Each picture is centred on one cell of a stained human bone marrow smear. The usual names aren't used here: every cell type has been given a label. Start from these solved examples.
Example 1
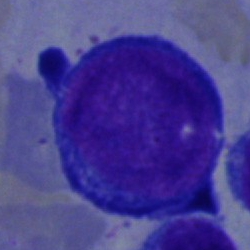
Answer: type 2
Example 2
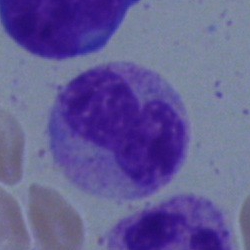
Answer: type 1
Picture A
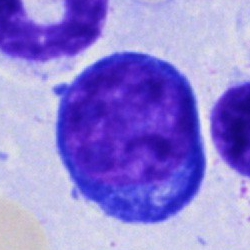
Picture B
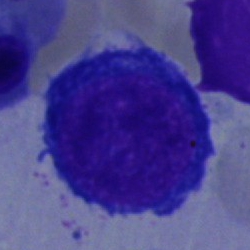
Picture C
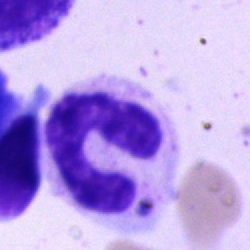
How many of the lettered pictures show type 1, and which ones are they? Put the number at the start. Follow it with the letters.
1, namely C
